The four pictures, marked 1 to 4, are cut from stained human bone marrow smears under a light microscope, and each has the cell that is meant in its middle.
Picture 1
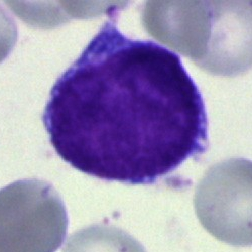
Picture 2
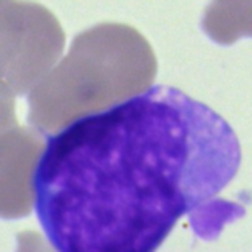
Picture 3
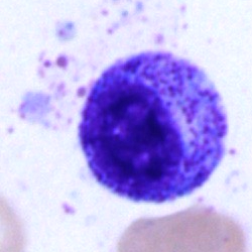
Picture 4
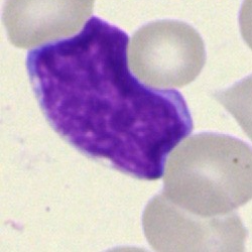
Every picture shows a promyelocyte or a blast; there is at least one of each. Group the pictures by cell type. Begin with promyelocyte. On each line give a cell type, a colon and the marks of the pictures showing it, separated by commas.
promyelocyte: 3
blast: 1, 2, 4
